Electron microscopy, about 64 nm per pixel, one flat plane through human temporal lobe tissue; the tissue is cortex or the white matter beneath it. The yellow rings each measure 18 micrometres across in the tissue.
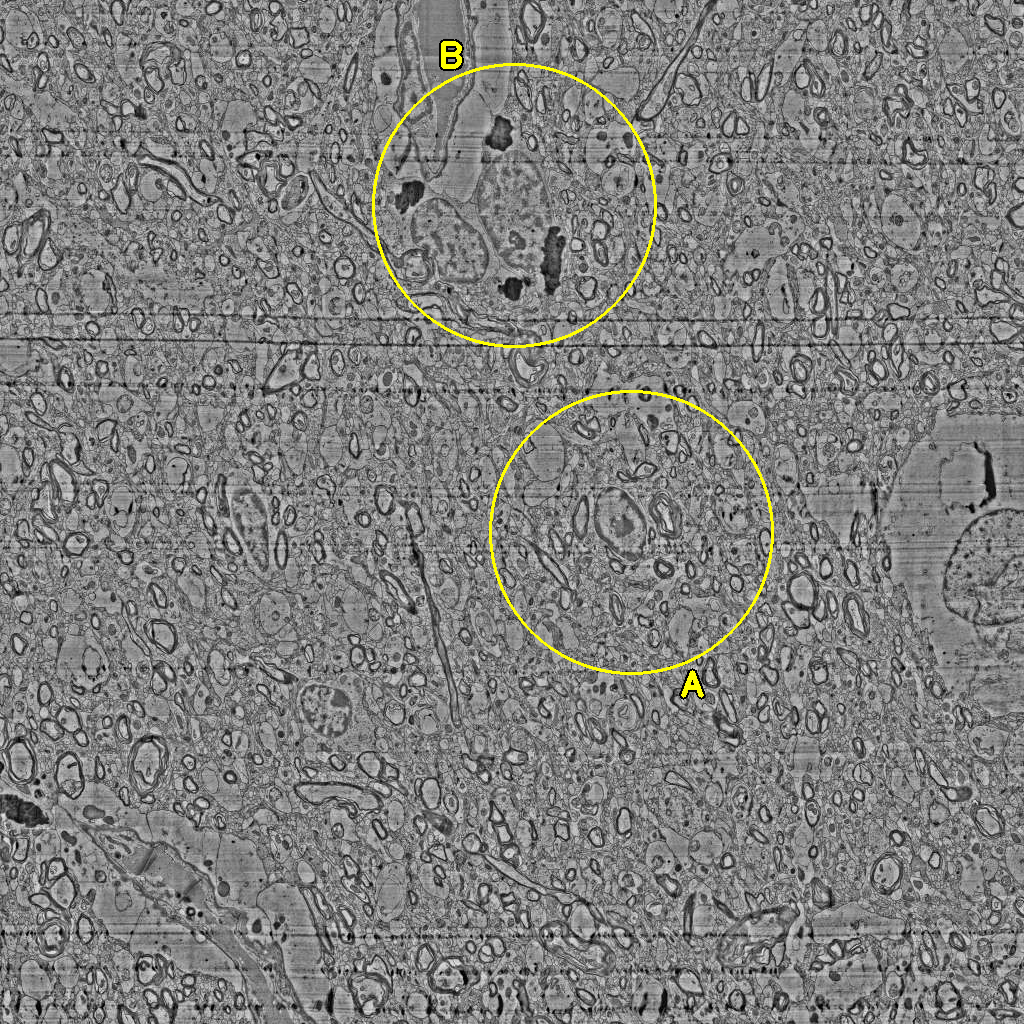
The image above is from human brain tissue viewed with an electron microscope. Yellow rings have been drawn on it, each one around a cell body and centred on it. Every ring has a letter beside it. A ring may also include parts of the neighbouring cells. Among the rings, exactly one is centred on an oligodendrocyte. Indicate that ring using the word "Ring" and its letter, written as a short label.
Ring B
